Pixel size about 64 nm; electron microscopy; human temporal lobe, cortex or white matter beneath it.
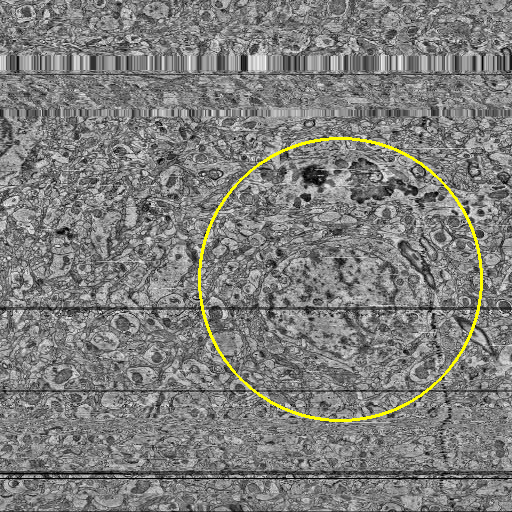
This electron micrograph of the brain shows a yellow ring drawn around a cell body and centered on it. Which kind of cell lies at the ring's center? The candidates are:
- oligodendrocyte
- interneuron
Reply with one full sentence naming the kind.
The cell lying at the ring's center in this micrograph is an interneuron.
